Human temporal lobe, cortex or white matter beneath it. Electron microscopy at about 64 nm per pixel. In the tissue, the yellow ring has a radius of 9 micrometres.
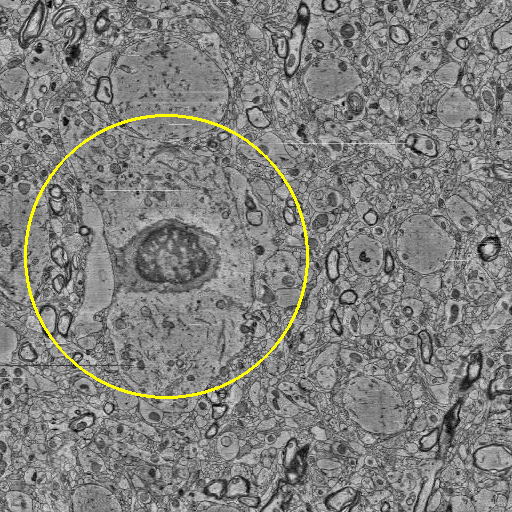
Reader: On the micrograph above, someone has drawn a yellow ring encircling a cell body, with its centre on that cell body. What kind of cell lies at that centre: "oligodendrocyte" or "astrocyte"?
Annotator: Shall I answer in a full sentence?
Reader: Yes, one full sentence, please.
Here an oligodendrocyte sits at the centre of the yellow ring drawn on the micrograph.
